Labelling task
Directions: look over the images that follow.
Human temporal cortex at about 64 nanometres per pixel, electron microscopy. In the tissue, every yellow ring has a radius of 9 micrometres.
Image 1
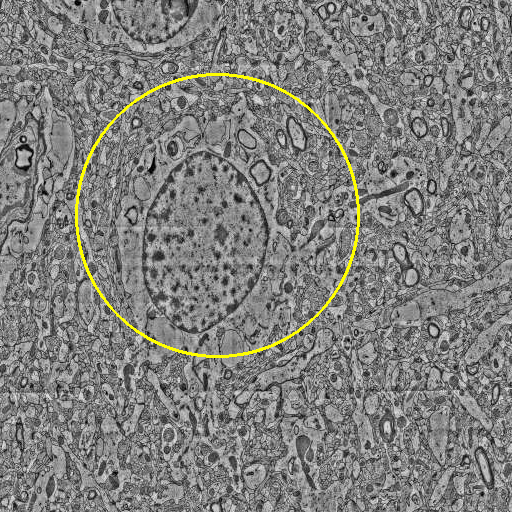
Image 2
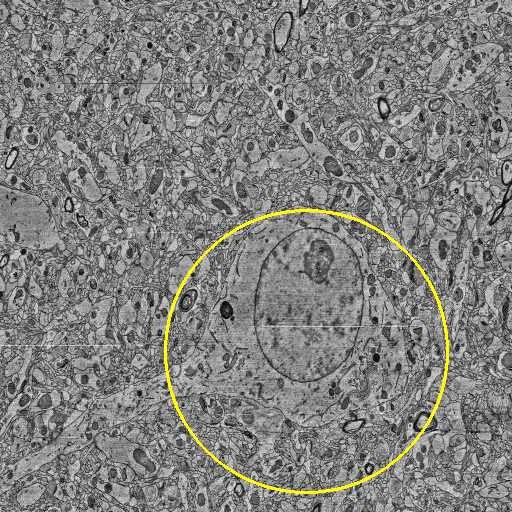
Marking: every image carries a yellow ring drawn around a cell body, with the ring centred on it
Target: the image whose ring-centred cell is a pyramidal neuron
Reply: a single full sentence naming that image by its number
The requested cell sits at the ring's centre in Image 2.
